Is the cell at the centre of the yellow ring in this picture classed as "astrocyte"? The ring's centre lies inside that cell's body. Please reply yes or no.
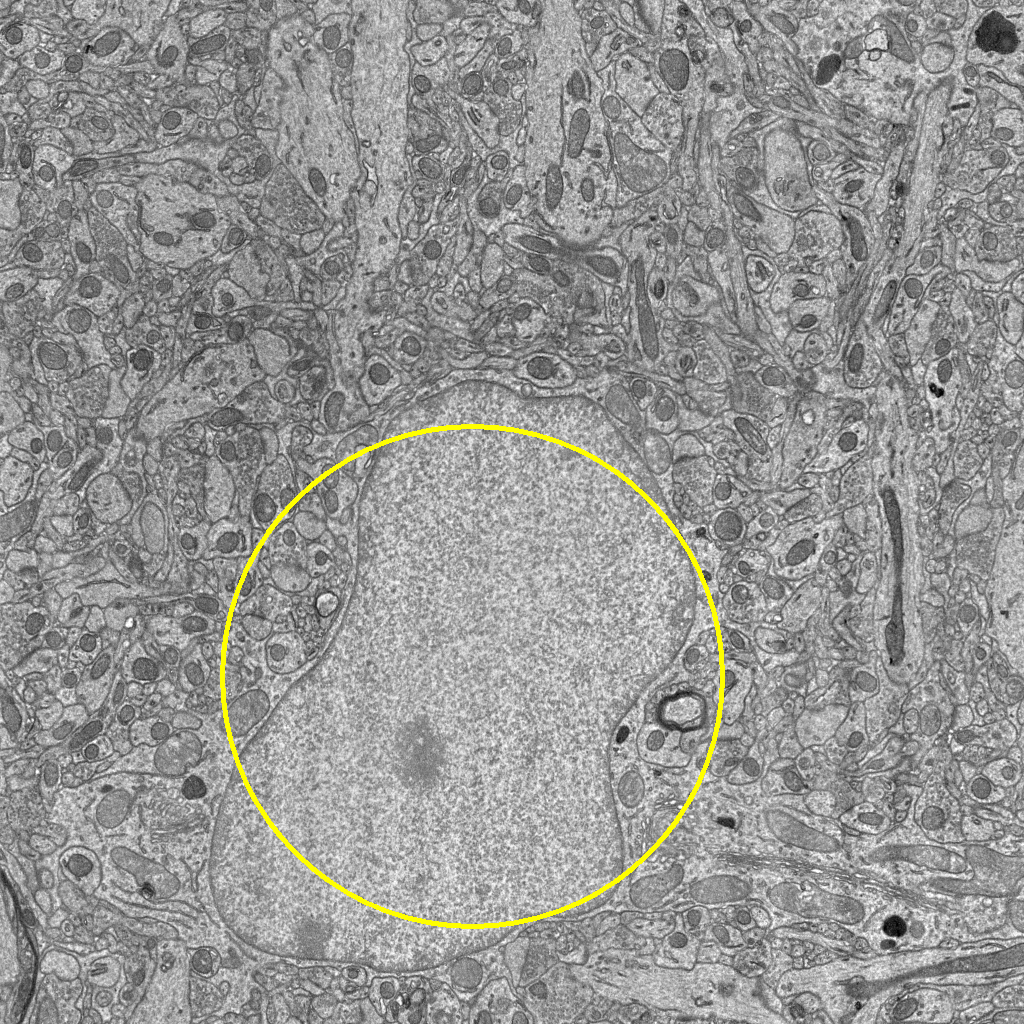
Yes, it is of that kind.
